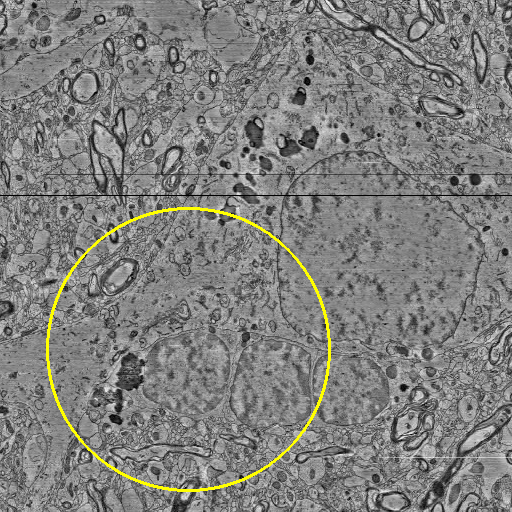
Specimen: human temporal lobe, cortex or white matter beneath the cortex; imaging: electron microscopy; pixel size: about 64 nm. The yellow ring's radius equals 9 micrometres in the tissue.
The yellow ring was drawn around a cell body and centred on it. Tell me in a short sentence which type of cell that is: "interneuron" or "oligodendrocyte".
The cell at the ring's centre is an oligodendrocyte.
